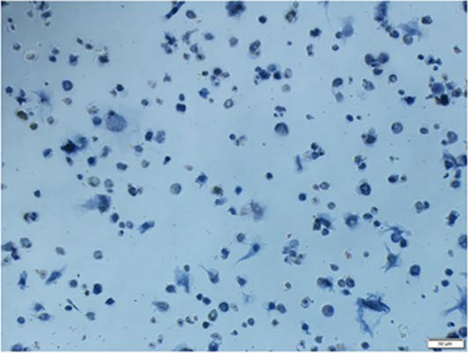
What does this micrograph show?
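The majority are small and round to oval. A smaller number have flattened and spread out into larger, irregular polygonal or stellate shapes with thin cytoplasmic extensions. A few cells look paler and more refractile, with little or no blue colour, and stand out among the stained ones.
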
